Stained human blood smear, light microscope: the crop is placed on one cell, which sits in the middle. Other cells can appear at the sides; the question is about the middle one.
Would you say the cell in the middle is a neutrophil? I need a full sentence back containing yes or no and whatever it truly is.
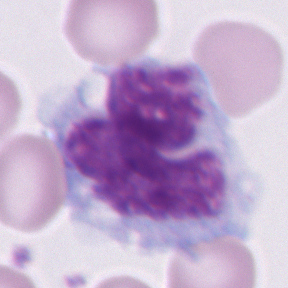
No, the central cell is classed as a monocyte, not a neutrophil.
